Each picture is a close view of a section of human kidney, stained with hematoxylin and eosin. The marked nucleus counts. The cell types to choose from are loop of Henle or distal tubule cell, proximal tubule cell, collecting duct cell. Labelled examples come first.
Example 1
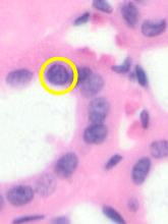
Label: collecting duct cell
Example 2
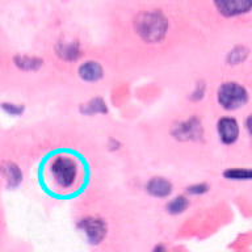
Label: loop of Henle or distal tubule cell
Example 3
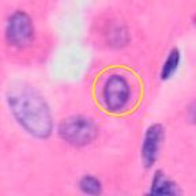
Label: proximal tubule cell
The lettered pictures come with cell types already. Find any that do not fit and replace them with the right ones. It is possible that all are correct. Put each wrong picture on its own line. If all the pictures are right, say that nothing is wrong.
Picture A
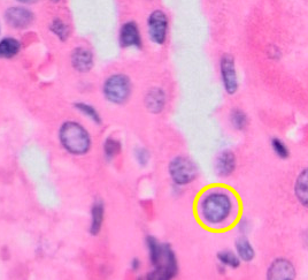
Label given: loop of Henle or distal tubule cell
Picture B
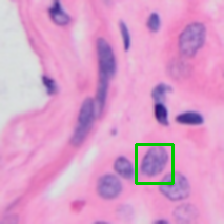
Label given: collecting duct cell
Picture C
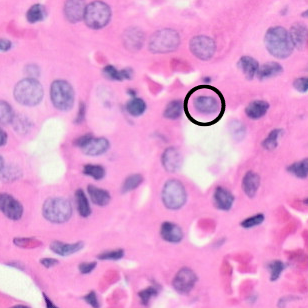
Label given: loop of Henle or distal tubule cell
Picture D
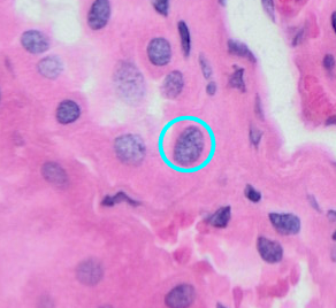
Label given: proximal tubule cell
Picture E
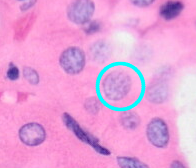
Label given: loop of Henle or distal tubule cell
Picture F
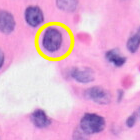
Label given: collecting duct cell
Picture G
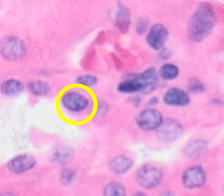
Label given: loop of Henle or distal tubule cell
D is labelled proximal tubule cell; correct label: loop of Henle or distal tubule cell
